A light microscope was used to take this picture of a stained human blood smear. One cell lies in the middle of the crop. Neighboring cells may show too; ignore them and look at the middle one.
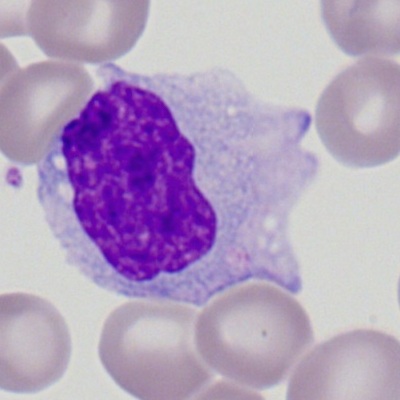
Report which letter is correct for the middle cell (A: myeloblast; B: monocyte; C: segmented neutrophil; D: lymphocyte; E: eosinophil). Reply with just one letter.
B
